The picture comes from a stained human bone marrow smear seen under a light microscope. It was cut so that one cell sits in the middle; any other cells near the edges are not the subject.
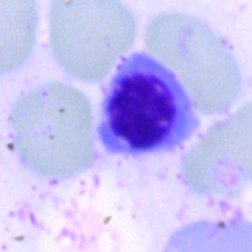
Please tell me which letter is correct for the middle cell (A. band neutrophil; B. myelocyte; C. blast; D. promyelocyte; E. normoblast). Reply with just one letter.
E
